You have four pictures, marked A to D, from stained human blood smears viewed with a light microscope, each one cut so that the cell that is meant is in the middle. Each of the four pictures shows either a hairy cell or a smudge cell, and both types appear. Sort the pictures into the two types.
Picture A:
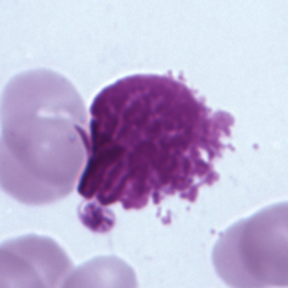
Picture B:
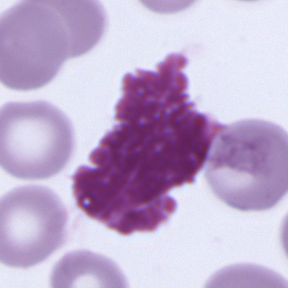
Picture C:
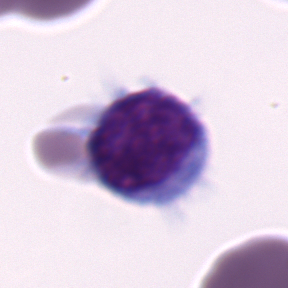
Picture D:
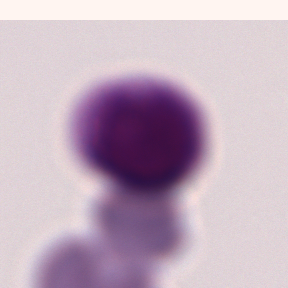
A: smudge cell
B: smudge cell
C: hairy cell
D: smudge cell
